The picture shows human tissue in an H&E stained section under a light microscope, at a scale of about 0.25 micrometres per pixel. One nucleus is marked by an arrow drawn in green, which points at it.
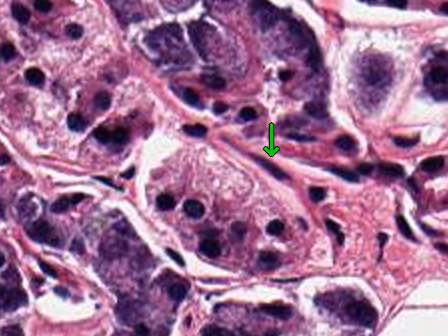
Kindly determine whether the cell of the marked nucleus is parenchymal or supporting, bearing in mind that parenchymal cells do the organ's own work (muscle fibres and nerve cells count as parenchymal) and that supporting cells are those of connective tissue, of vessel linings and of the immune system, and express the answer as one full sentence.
In this field of view, a supporting cell owns the marked nucleus.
